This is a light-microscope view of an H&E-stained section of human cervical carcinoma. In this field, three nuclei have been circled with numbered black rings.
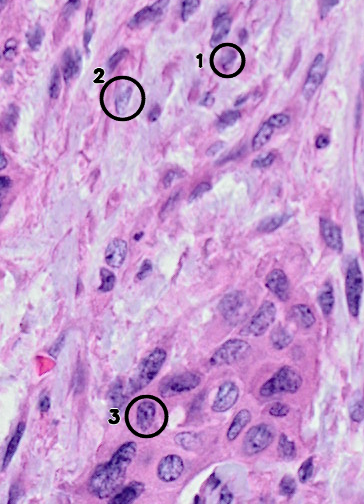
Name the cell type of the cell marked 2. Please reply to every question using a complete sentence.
The numbered cell 2 is identified here as a fibroblast.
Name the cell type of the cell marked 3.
To a squamous carcinoma cell belongs the nucleus marked 3.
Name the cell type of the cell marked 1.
The cell referenced by the number 1 is a fibroblast in this field.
